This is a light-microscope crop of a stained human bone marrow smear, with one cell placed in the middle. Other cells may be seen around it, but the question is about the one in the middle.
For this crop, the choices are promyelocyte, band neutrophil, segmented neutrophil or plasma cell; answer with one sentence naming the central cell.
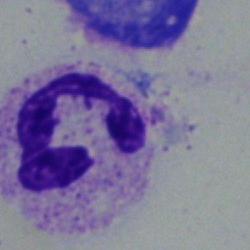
Classification of the middle cell gives a segmented neutrophil.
